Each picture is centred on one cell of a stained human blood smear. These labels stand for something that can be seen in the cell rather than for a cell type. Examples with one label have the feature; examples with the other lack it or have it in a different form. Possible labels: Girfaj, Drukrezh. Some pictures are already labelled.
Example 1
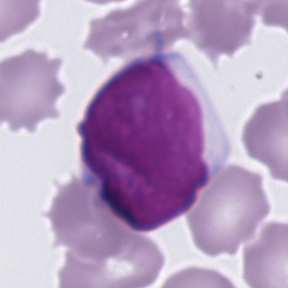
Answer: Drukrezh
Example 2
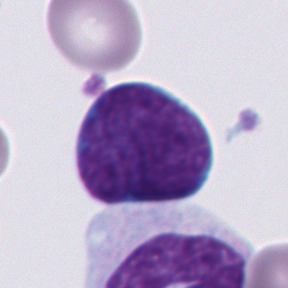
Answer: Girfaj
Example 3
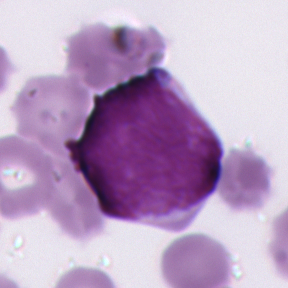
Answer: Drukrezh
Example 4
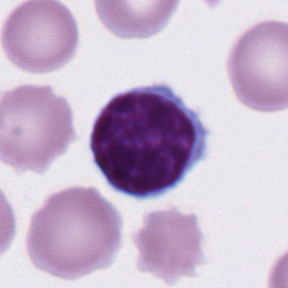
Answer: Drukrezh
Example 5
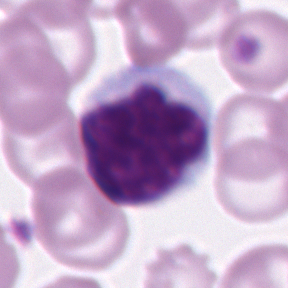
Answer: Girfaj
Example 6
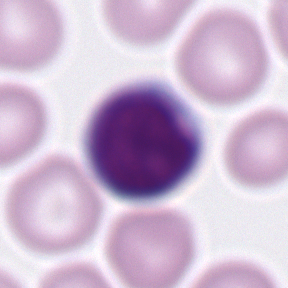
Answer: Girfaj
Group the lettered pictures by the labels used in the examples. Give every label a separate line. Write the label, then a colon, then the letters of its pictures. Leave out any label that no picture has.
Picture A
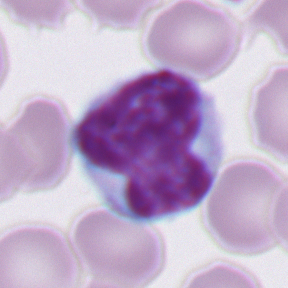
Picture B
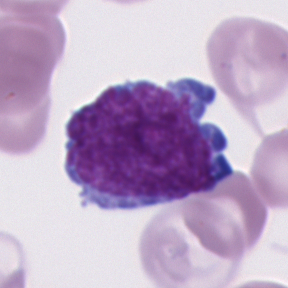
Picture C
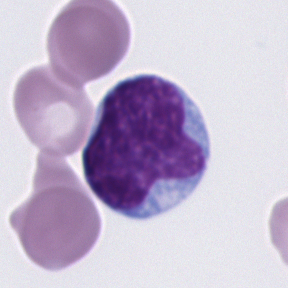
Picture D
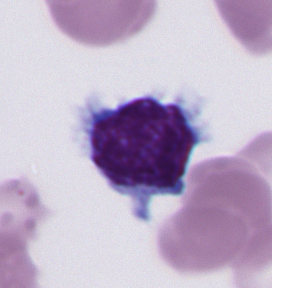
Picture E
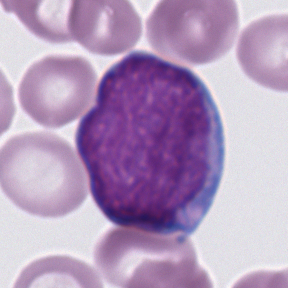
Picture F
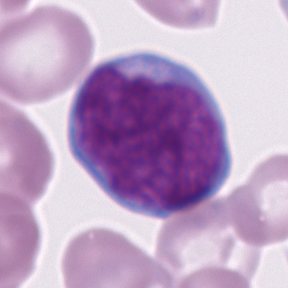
Girfaj: A, C, F
Drukrezh: B, D, E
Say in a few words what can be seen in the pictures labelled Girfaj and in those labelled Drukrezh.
Seen in Girfaj: smooth outline; seen in Drukrezh: ragged outline or projections.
